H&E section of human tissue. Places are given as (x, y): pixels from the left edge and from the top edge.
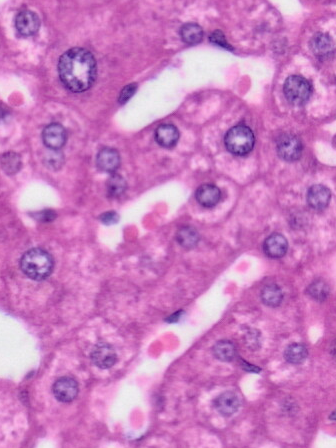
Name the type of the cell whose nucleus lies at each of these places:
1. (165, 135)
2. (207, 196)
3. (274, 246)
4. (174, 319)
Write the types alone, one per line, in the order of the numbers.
hepatocyte
hepatocyte
hepatocyte
endothelial cell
